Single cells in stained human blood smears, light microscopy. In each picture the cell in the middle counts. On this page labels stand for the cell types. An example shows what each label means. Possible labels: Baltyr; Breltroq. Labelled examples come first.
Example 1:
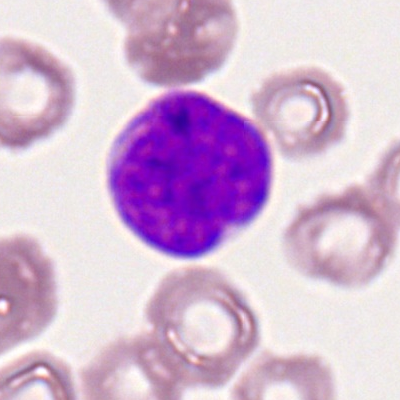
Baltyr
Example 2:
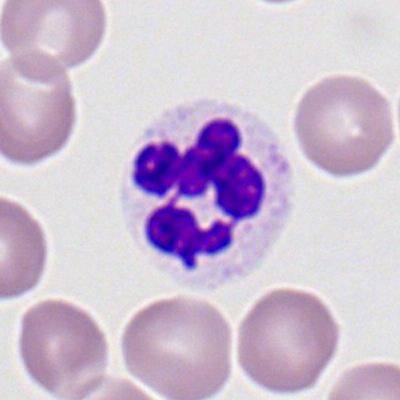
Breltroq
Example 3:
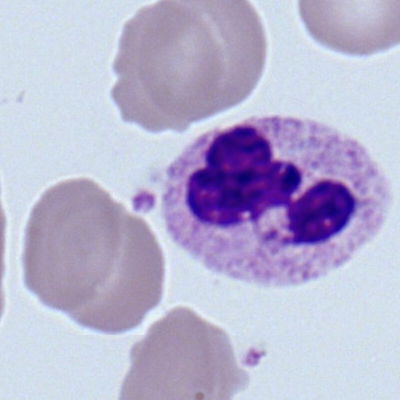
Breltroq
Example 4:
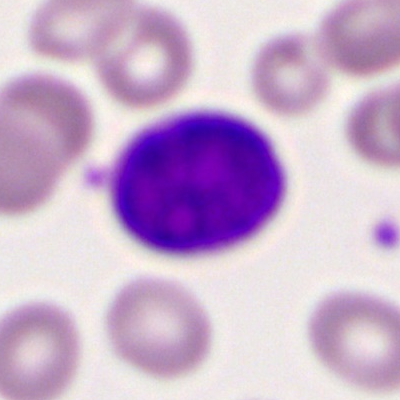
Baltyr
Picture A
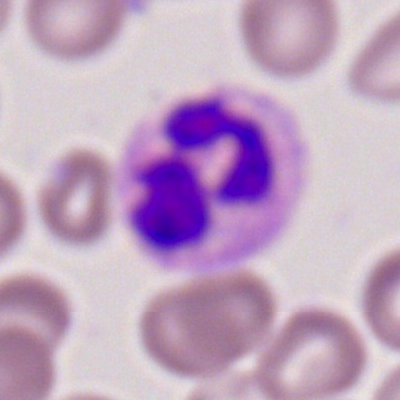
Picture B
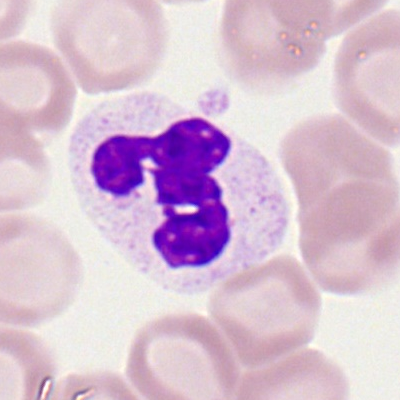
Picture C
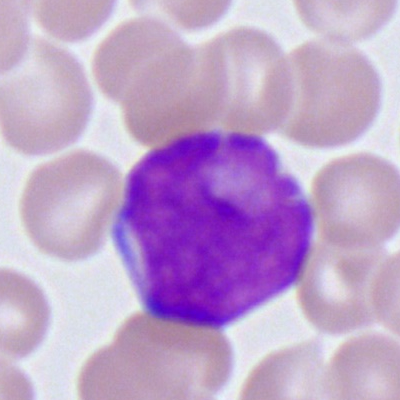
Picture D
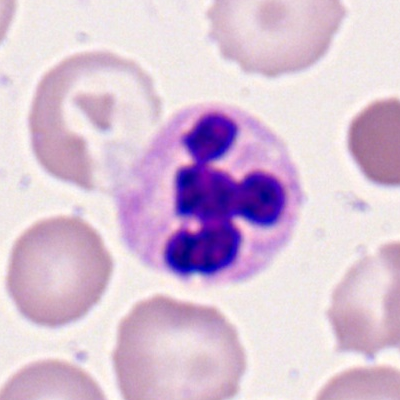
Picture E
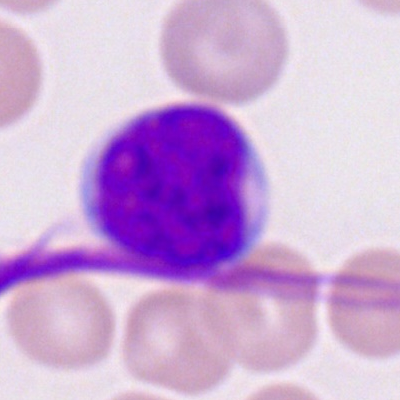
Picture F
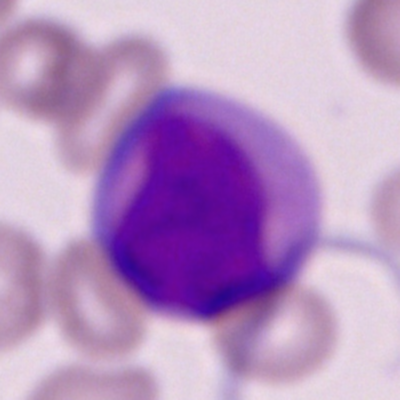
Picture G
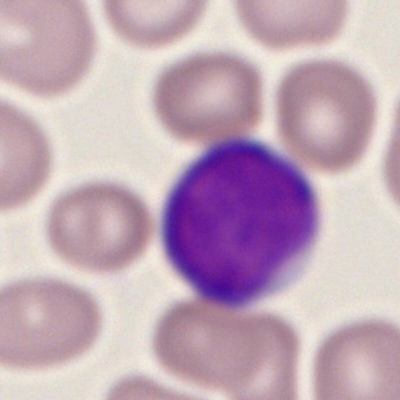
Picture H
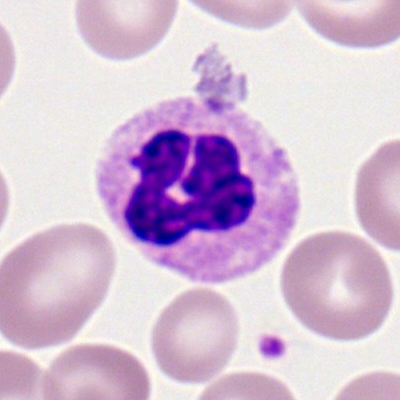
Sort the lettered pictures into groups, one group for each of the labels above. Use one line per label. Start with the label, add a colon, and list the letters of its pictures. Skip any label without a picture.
Baltyr: C, E, F, G
Breltroq: A, B, D, H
